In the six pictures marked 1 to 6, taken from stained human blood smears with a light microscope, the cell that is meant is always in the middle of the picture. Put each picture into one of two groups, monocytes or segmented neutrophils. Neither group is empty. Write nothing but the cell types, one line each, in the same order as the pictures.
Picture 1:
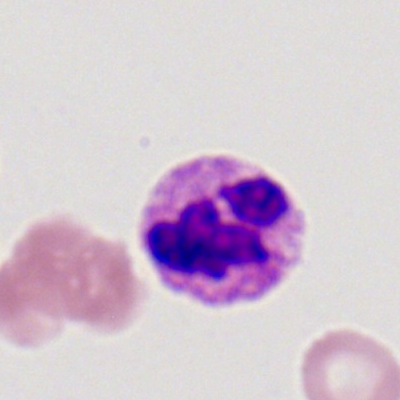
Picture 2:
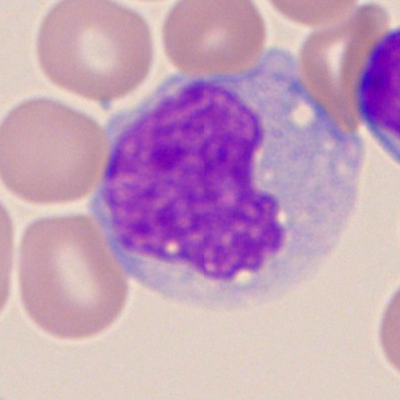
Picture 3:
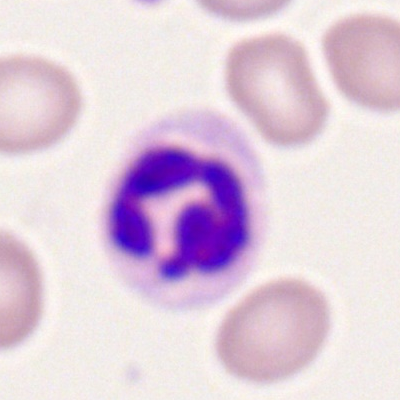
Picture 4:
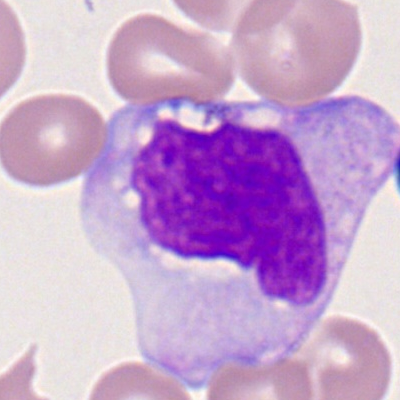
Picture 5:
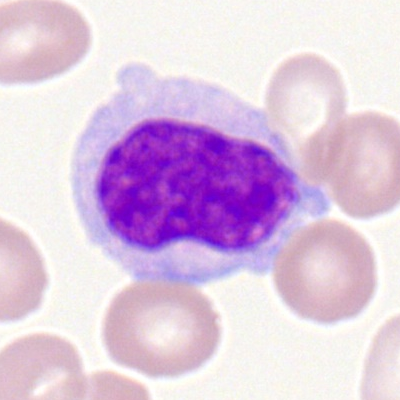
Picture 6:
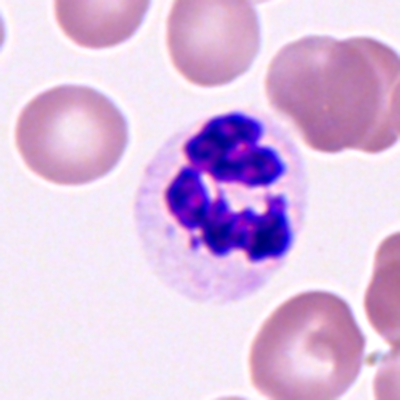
segmented neutrophil
monocyte
segmented neutrophil
monocyte
monocyte
segmented neutrophil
